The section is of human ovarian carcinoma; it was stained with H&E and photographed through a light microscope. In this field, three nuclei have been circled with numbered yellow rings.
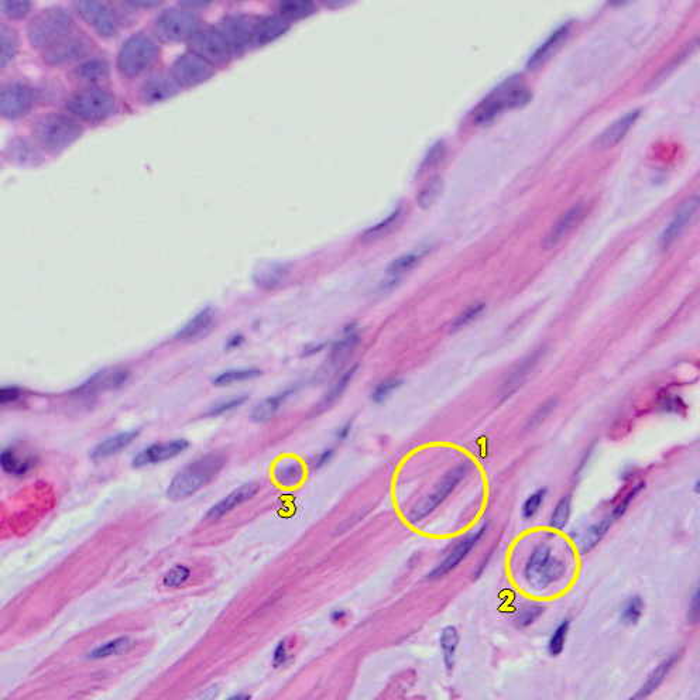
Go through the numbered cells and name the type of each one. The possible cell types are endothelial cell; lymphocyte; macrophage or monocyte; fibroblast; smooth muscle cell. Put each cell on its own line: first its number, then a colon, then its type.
1: smooth muscle cell
2: endothelial cell
3: smooth muscle cell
